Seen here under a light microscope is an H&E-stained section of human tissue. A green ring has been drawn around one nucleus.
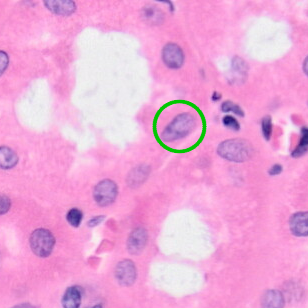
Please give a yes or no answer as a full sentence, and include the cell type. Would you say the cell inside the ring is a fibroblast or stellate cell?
No, the cell inside the ring is a proximal tubule cell rather than a fibroblast or stellate cell in this section.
